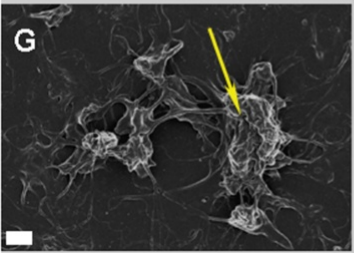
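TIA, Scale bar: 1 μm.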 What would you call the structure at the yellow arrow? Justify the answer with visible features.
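Several small cells are clumped together into a heaped mass. Their processes interweave and overlap.
Platelet aggregates.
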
